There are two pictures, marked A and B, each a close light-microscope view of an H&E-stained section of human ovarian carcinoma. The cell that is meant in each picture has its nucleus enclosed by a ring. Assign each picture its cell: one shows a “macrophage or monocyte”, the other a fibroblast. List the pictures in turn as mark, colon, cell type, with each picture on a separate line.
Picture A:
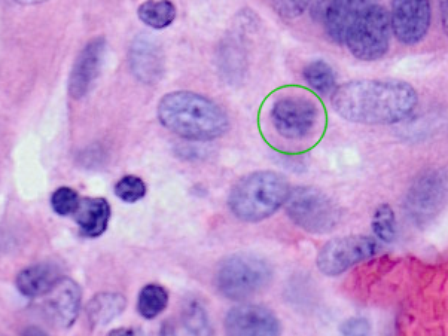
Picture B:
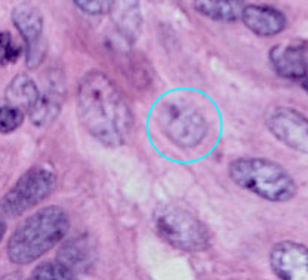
A: macrophage or monocyte
B: fibroblast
